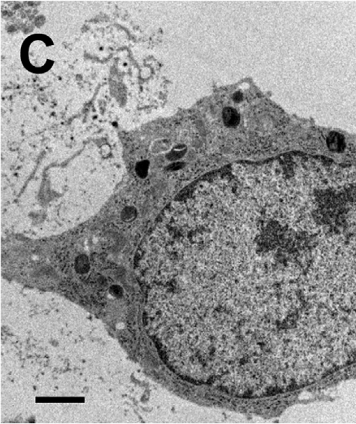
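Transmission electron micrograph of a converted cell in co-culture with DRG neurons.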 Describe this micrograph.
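A large, round nucleus occupies most of the cell body, with darker clumps of chromatin gathered beneath the nuclear envelope. The thin rim of cytoplasm is electron-dense and contains several dark inclusions, and a process extends from one side of the cell body.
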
